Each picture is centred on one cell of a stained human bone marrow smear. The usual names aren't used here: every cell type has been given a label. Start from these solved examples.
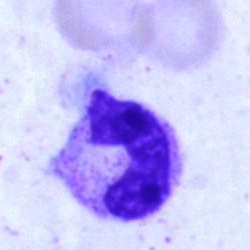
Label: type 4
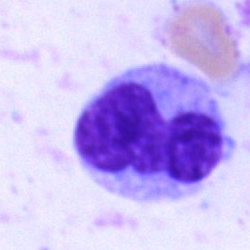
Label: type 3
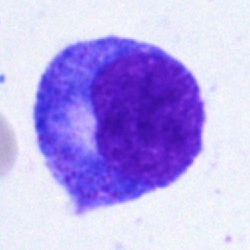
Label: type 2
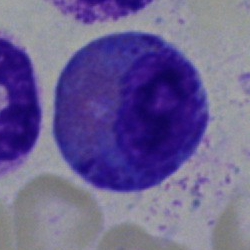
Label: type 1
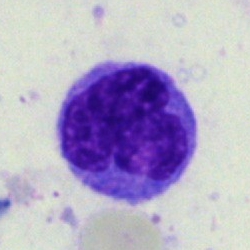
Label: type 3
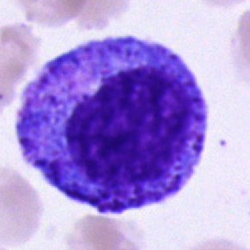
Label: type 2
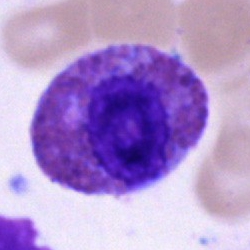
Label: type 1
